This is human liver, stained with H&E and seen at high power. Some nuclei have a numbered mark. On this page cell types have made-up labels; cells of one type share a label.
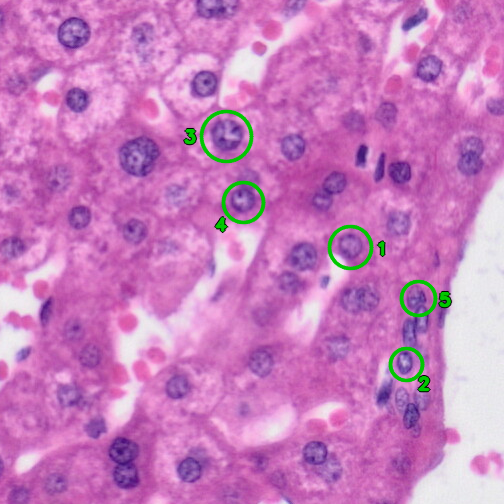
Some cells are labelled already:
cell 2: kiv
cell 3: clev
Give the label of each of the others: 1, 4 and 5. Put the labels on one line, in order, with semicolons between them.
clev; clev; kiv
